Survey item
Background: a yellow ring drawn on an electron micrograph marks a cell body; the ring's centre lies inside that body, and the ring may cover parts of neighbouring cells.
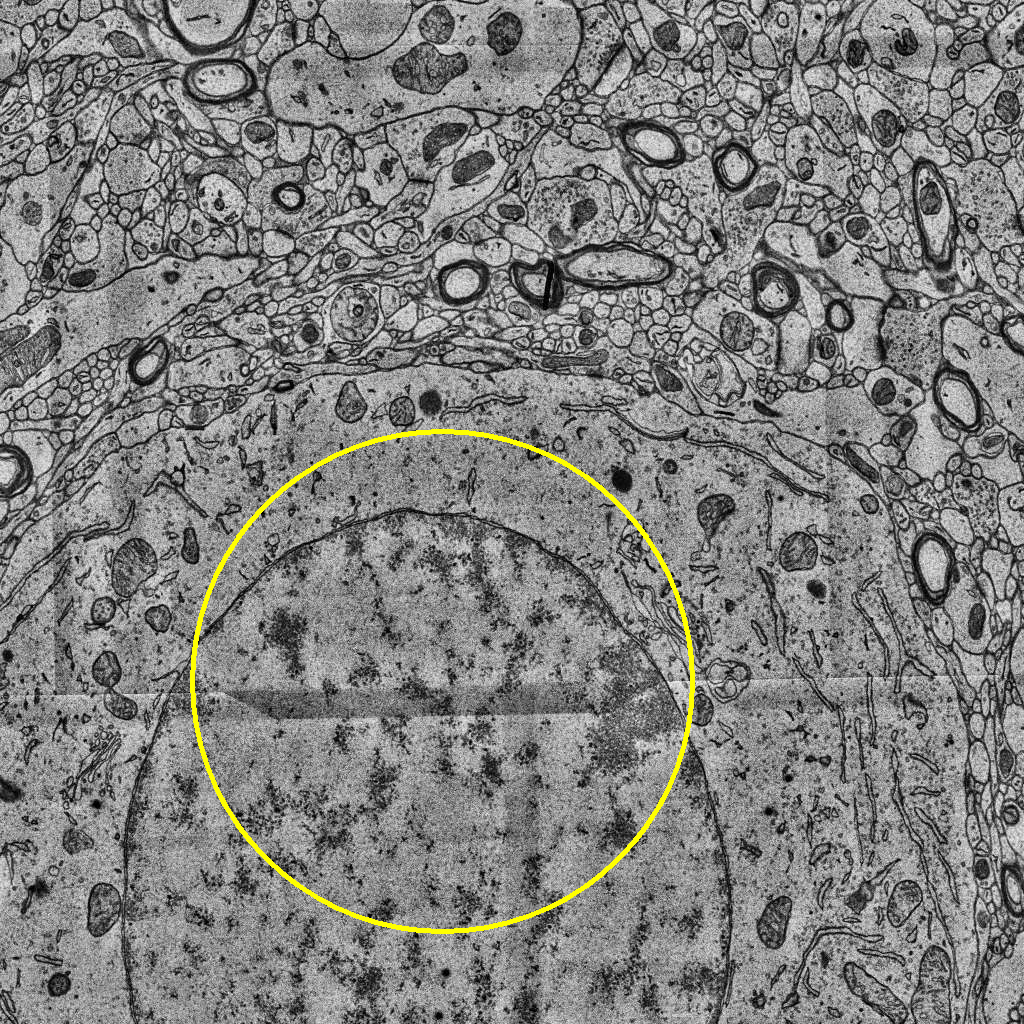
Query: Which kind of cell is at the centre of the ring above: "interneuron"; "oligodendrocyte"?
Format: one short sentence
The cell in the middle of the ring is an interneuron.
